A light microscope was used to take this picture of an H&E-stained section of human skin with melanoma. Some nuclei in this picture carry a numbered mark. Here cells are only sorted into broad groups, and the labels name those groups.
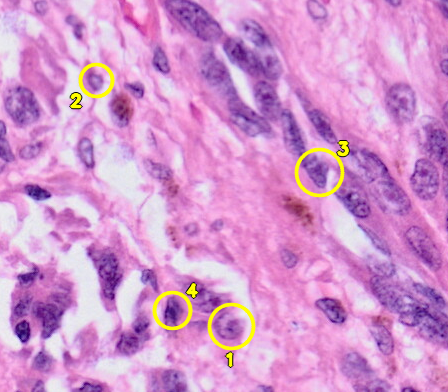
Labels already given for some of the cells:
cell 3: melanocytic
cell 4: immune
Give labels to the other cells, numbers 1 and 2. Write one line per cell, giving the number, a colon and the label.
1: melanocytic
2: immune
